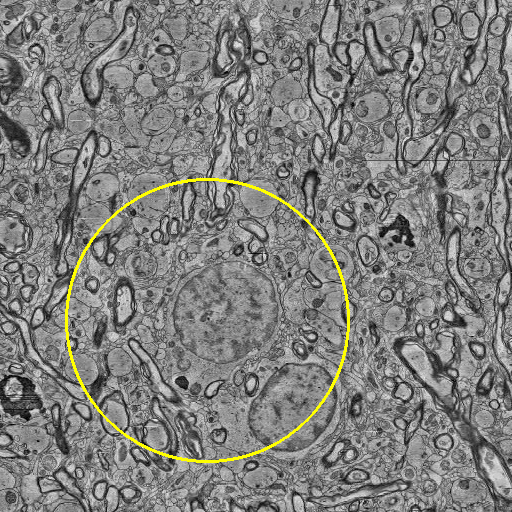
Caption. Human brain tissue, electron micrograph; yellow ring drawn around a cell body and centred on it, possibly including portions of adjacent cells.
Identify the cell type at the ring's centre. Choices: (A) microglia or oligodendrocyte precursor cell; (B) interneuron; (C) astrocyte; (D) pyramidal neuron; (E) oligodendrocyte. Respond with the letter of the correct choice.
E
